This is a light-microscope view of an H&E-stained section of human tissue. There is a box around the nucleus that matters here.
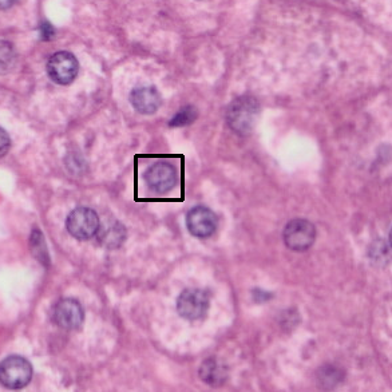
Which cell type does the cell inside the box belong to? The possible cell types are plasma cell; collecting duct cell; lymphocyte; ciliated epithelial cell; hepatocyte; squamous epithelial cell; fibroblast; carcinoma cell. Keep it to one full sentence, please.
On this particular slide, the cell inside the box is a hepatocyte.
